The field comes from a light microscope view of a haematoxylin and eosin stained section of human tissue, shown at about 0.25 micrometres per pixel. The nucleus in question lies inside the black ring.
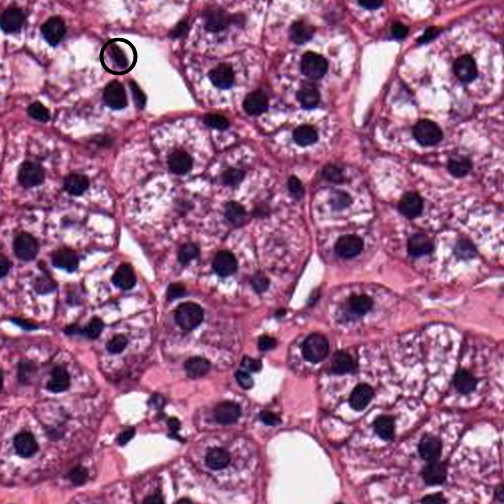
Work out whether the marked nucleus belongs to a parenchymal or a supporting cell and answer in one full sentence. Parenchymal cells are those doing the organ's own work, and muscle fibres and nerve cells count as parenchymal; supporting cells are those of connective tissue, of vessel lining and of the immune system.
A supporting cell is what the marked nucleus belongs to.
